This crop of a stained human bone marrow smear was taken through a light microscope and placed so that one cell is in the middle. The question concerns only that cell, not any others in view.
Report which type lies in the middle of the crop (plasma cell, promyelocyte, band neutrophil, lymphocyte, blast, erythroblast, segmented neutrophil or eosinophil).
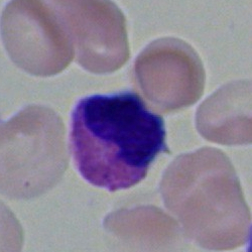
eosinophil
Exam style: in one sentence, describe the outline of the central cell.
Around its circumference, the cell has an uneven edge, ragged or projecting in places.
